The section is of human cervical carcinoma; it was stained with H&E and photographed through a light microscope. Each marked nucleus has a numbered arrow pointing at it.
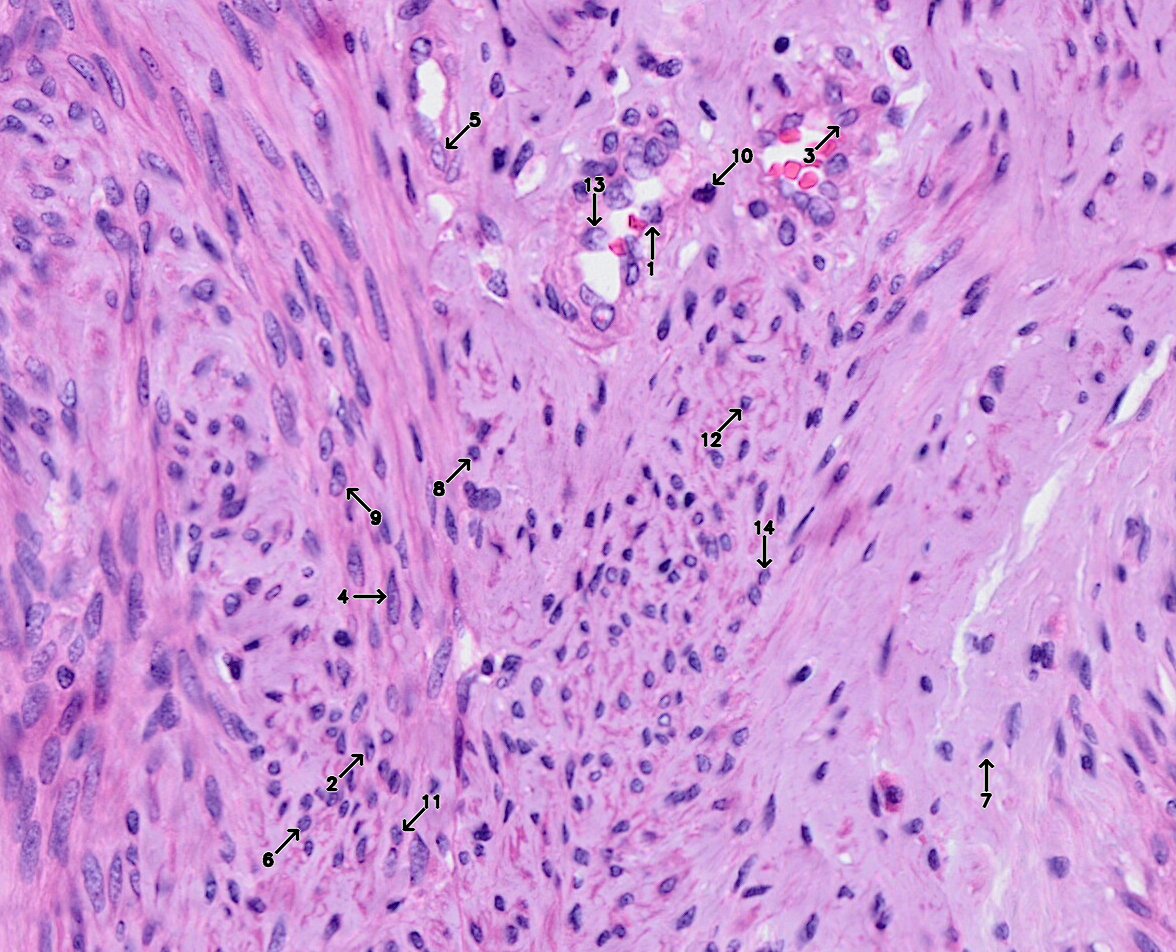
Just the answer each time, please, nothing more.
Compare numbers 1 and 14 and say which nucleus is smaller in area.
14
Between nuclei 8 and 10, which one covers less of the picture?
8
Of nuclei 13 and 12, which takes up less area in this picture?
12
